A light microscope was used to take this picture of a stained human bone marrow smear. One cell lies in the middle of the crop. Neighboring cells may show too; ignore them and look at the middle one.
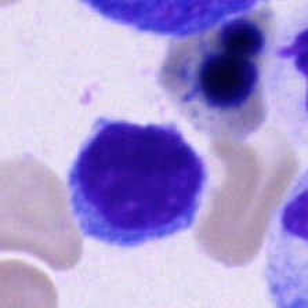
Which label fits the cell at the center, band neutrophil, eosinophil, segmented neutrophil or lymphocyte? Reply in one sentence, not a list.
The cell at the heart of this crop is a lymphocyte.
